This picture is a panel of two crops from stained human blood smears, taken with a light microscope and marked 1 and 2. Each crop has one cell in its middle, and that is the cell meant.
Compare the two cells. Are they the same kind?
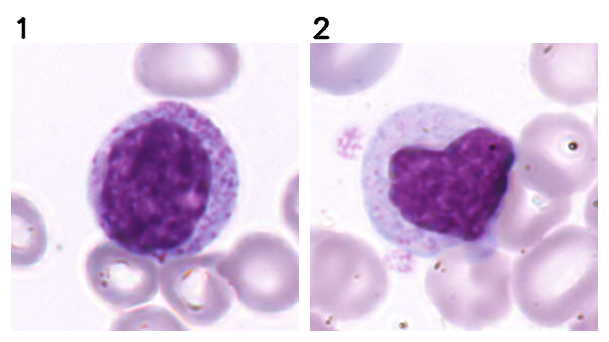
no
